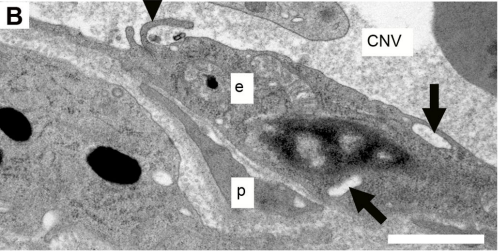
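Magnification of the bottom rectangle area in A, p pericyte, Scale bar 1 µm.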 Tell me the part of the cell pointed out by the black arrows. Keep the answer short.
Vesicles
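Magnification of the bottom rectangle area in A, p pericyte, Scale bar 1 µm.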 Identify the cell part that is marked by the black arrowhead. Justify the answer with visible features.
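Endothelial projections into vessel lumen. Thin finger-like processes rise from the endothelial surface into the pale lumen at the arrowhead.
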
